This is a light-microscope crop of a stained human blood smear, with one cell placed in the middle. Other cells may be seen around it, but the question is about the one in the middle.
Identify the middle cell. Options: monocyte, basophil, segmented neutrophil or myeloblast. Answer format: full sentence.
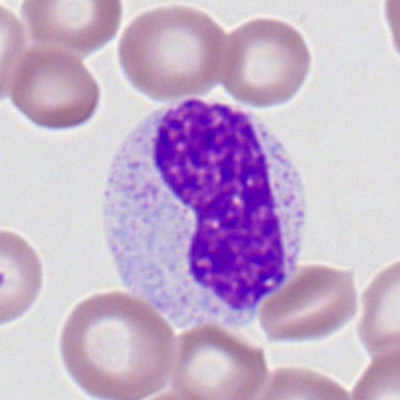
This crop has a monocyte at its centre.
